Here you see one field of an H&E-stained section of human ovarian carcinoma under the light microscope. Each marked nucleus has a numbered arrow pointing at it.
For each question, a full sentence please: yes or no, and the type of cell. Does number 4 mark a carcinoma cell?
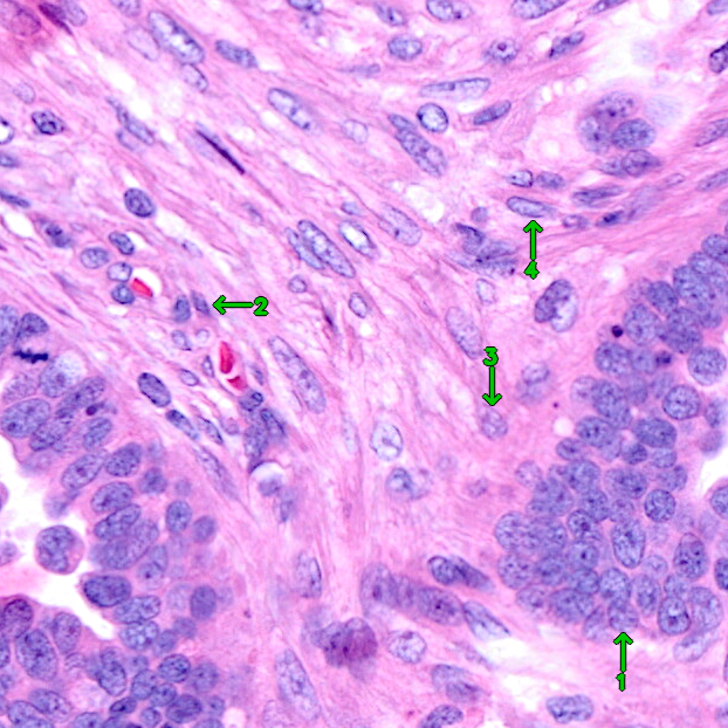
No, cell 4 should be read as a fibroblast instead of a carcinoma cell.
